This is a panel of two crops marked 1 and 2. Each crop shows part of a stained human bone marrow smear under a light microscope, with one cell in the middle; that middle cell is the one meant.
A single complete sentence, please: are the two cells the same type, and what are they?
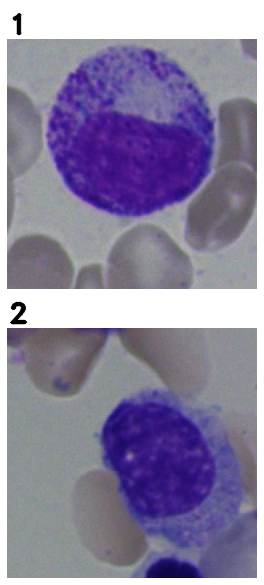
Yes, the cells at the middle of both crops are myelocytes.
